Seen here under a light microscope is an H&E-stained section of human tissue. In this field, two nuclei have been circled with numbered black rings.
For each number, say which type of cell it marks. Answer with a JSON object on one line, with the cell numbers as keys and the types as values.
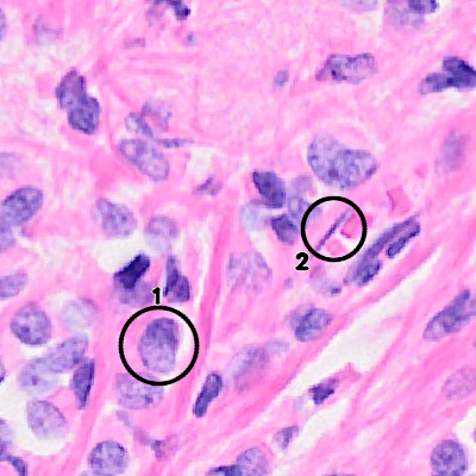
{"1": "carcinoma cell", "2": "endothelial cell"}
